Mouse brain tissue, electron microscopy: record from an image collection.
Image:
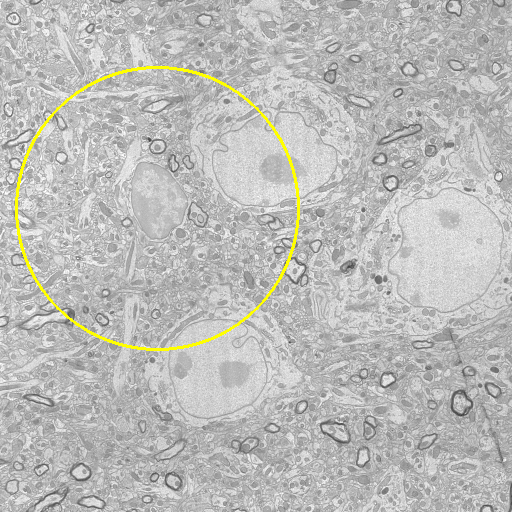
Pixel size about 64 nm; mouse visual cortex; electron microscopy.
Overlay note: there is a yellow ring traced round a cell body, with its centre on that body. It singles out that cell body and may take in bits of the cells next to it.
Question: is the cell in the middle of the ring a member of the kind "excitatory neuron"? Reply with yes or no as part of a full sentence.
No, the image's ringed cell, the one at the ring's centre, is a member of another kind.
